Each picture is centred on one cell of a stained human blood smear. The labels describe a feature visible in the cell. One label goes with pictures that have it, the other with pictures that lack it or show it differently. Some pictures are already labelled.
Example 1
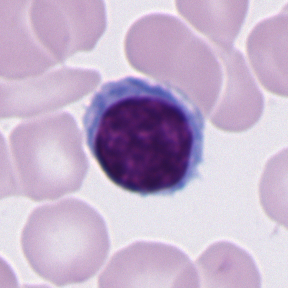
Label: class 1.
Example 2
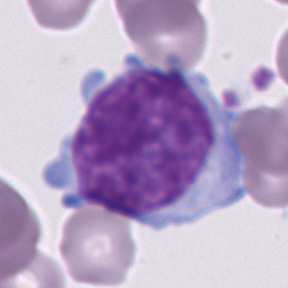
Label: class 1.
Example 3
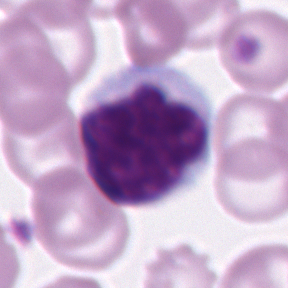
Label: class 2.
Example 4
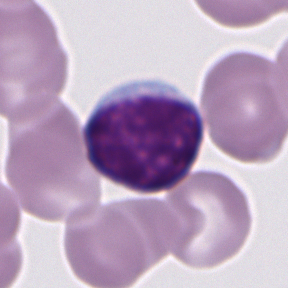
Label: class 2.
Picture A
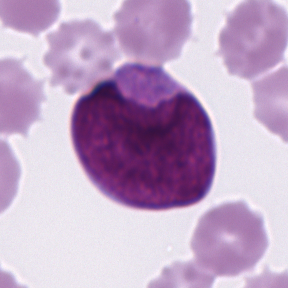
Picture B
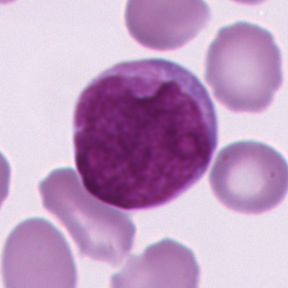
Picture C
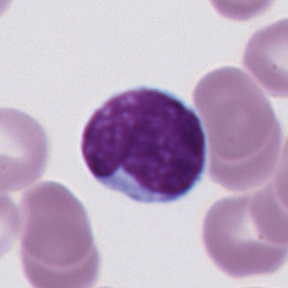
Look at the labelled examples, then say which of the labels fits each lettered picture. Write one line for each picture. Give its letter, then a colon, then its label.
A: class 2.
B: class 2.
C: class 2.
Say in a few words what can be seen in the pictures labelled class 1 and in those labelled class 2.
class 1, ragged outline or projections; class 2, smooth outline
